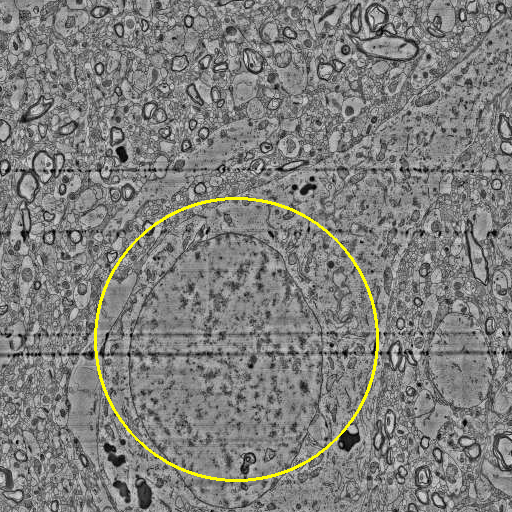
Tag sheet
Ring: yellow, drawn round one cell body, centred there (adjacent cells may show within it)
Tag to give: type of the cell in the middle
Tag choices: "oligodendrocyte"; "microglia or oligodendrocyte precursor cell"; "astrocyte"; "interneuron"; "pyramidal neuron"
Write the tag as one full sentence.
I tag the cell centred in the yellow ring as a pyramidal neuron in this picture.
